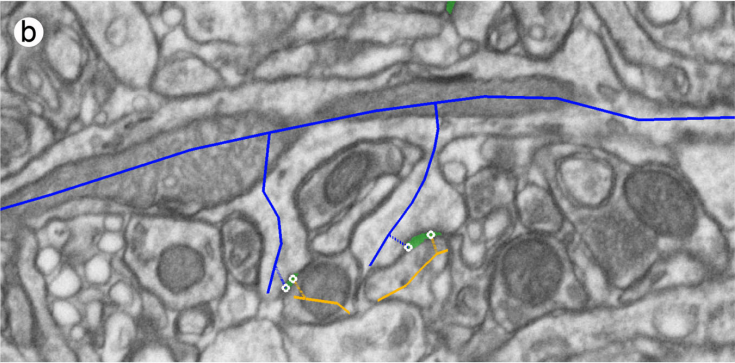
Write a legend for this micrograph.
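This is a higher-magnification electron micrograph of neuropil showing a dendrite and two spines arising from it. A long blue line follows the elongated dendritic shaft across the top. Two shorter blue lines descend from it into the necks and heads of two spines. Large mitochondria with dark cristae lie in the neighbouring profiles, and membranes of many small processes pack the surrounding field.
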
